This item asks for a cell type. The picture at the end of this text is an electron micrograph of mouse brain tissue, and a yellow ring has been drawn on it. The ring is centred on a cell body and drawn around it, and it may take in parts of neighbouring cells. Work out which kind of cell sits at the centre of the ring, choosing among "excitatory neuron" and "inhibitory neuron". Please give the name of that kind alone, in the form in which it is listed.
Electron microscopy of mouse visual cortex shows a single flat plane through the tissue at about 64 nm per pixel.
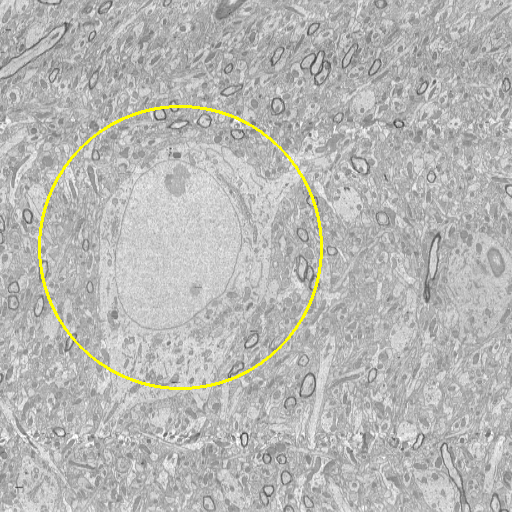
excitatory neuron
